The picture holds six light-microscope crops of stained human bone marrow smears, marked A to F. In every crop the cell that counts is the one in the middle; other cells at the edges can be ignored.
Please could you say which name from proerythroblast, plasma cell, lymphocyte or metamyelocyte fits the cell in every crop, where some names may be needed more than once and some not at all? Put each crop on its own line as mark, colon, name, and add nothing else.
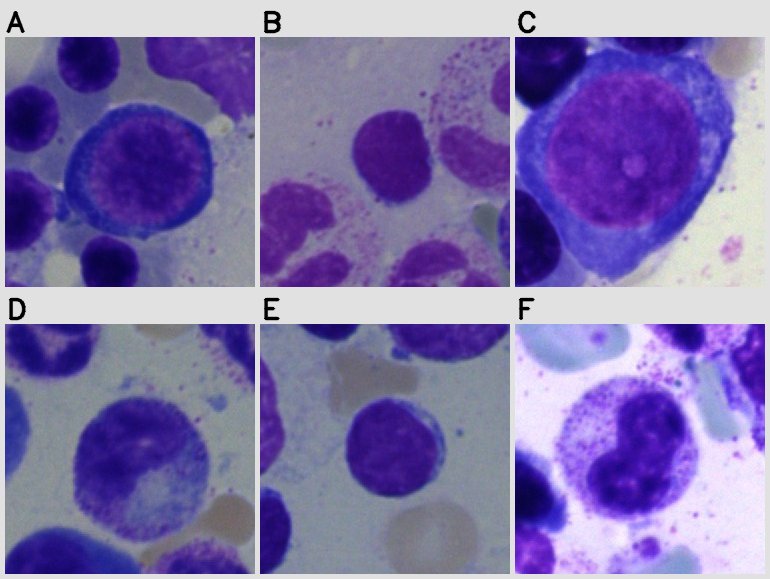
A: proerythroblast
B: lymphocyte
C: proerythroblast
D: metamyelocyte
E: lymphocyte
F: metamyelocyte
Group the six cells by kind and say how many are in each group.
proerythroblast: 2
lymphocyte: 2
metamyelocyte: 2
